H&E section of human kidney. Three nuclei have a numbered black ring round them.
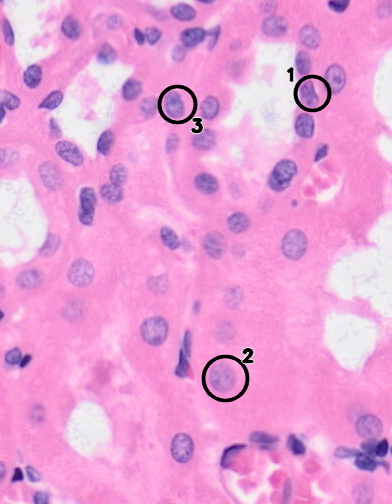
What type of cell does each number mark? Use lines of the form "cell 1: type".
cell 1: loop of Henle or distal tubule cell
cell 2: proximal tubule cell
cell 3: loop of Henle or distal tubule cell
